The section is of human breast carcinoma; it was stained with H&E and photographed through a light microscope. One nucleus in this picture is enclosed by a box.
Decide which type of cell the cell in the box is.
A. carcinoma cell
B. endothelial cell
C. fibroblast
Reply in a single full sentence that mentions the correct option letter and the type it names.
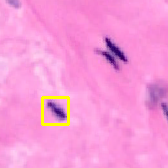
Since the cell in the box is a fibroblast, option C is correct.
